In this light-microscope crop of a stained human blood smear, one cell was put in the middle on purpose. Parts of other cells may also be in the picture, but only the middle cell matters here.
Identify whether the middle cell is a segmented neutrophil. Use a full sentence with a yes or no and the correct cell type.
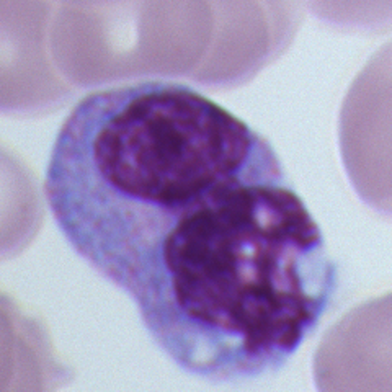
No, the cell in the middle should be called a monocyte instead of a segmented neutrophil.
